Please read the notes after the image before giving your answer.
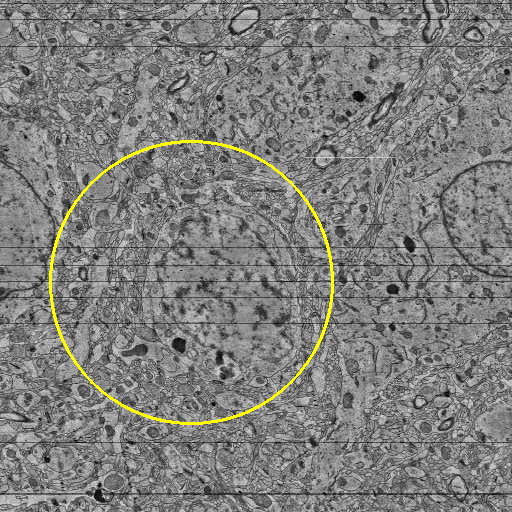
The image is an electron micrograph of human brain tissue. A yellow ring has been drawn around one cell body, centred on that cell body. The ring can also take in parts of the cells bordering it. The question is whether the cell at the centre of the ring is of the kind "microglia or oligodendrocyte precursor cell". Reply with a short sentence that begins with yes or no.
No, the cell at the centre is of another kind.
